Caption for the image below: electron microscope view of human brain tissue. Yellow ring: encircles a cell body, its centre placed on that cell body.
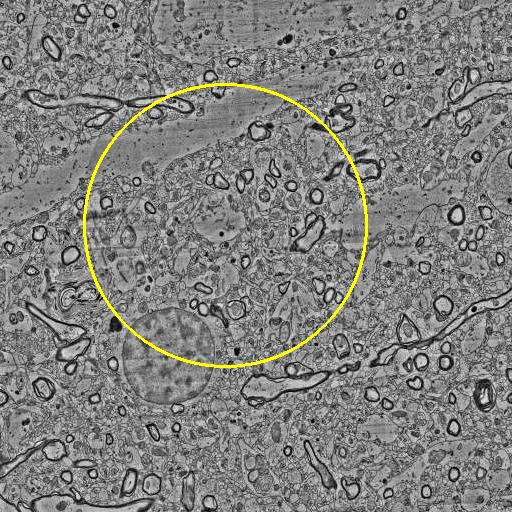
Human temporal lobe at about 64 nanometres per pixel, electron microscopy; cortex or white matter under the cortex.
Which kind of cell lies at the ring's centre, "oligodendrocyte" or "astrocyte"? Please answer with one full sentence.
The picture shows an astrocyte at the centre of the yellow ring.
